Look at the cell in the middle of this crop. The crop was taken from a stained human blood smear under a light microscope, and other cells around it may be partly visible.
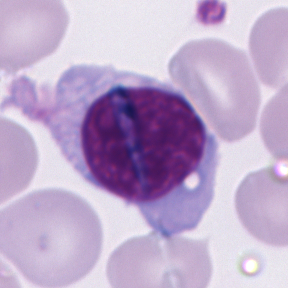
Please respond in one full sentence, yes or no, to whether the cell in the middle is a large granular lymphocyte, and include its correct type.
No, the cell in the middle is a typical lymphocyte, not a large granular lymphocyte.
